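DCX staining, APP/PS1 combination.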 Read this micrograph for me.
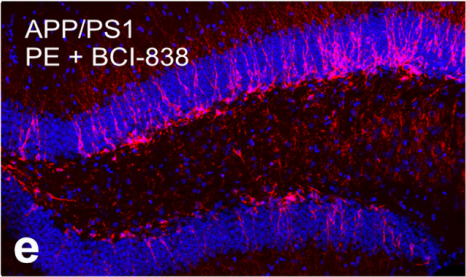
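The image shows the granule cell layer as a curved band of tightly packed blue nuclei enclosing the hilus. Scattered red profiles also lie within the hilus.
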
